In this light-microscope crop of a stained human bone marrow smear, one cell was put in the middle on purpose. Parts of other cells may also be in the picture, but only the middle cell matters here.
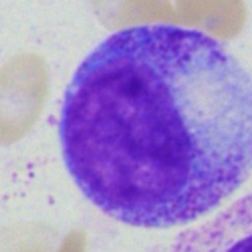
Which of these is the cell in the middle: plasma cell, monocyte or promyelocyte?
promyelocyte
